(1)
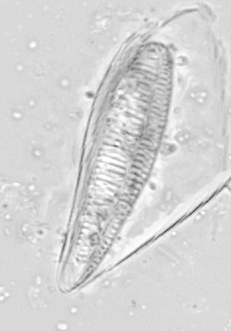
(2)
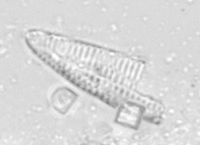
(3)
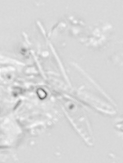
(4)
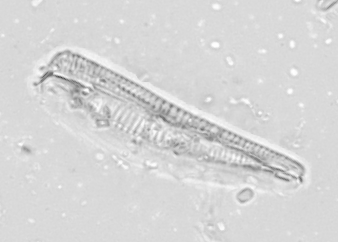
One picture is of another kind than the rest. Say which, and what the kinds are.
Picture 3 shows Nitzschia; the rest show Rhoicosphenia.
